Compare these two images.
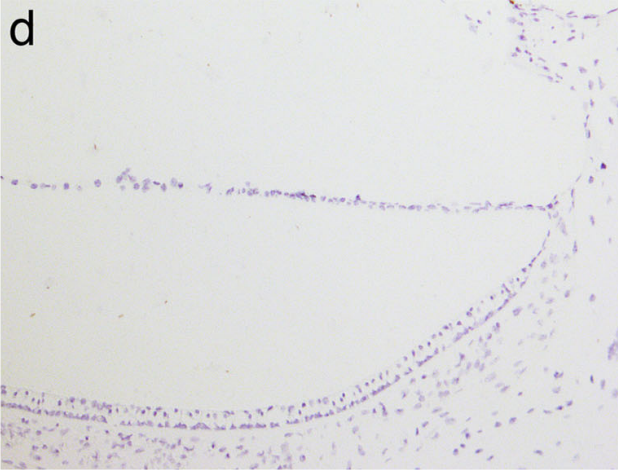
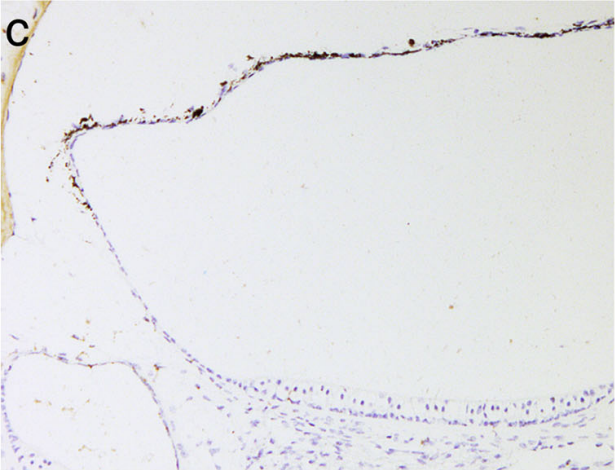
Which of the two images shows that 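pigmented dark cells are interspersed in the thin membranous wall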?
The second image.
